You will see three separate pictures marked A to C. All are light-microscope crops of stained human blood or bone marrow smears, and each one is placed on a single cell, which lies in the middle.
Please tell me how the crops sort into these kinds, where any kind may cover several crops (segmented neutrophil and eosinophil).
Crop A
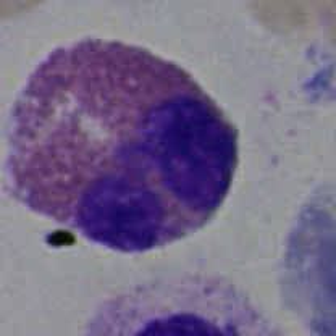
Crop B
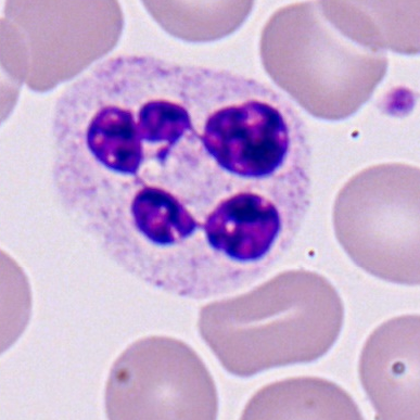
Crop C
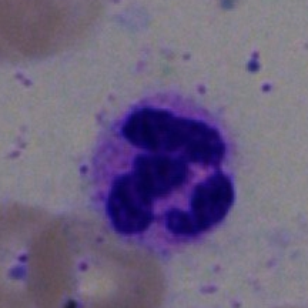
A: eosinophil
B: segmented neutrophil
C: segmented neutrophil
